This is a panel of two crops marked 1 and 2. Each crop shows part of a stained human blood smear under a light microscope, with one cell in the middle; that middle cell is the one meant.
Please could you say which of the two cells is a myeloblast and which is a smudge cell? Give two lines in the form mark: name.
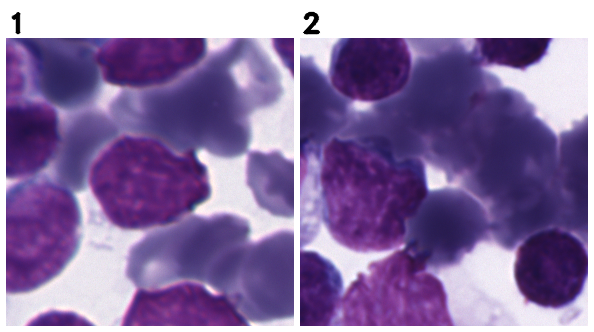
1: smudge cell
2: myeloblast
